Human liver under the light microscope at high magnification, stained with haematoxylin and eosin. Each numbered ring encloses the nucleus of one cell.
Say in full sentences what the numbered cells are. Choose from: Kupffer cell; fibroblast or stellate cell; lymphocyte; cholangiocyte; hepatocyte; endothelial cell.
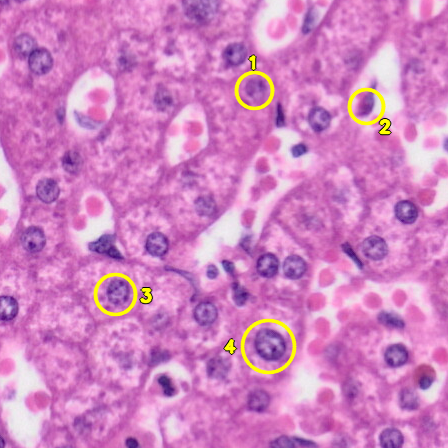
Cell 1 is a hepatocyte, cell 2 is a Kupffer cell, cell 3 is a hepatocyte and cell 4 is a hepatocyte.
